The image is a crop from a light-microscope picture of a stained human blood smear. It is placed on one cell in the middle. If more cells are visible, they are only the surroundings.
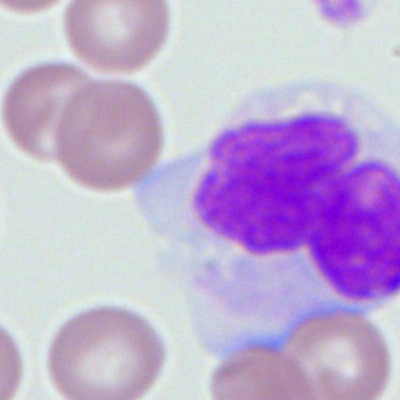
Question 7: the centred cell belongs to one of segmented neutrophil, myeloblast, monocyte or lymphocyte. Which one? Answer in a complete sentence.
Occupying the centre of the crop is a monocyte.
